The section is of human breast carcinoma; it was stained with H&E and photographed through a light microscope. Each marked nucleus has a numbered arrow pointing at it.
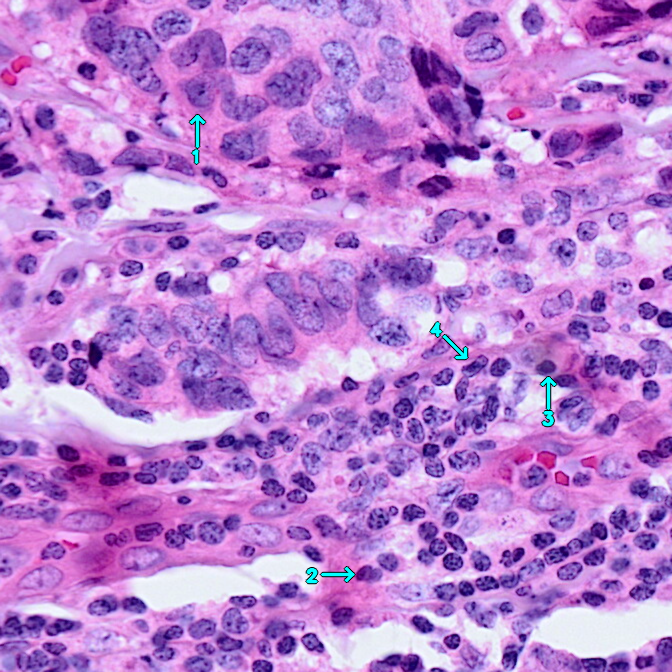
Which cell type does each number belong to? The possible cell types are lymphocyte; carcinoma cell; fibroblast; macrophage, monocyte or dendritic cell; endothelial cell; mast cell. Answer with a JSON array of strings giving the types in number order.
["carcinoma cell", "lymphocyte", "lymphocyte", "lymphocyte"]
